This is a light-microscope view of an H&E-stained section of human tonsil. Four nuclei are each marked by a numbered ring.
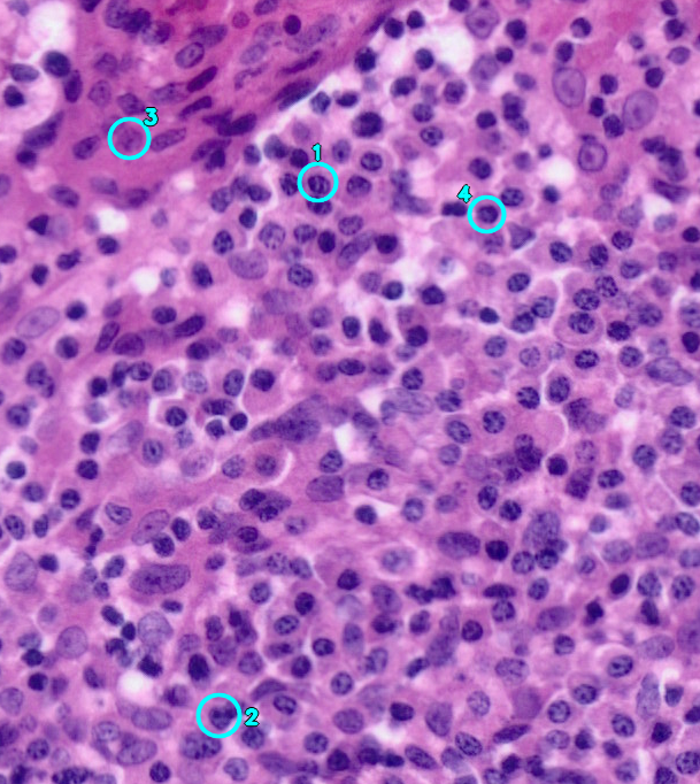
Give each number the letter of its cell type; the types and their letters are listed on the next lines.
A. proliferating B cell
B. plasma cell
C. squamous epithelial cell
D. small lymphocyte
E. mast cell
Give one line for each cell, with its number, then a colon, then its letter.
1: B
2: B
3: C
4: B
